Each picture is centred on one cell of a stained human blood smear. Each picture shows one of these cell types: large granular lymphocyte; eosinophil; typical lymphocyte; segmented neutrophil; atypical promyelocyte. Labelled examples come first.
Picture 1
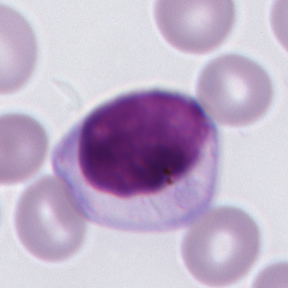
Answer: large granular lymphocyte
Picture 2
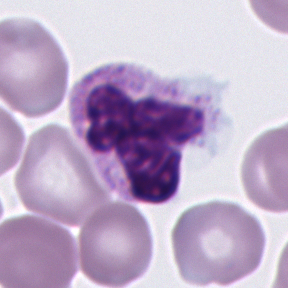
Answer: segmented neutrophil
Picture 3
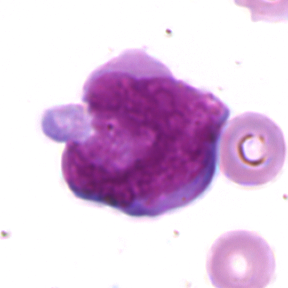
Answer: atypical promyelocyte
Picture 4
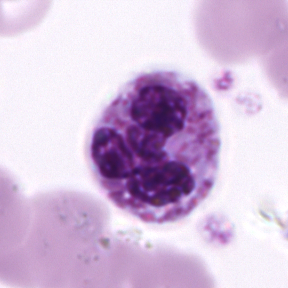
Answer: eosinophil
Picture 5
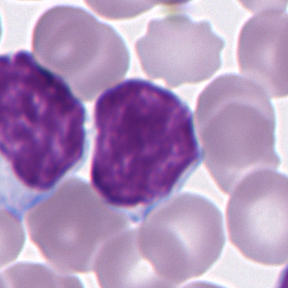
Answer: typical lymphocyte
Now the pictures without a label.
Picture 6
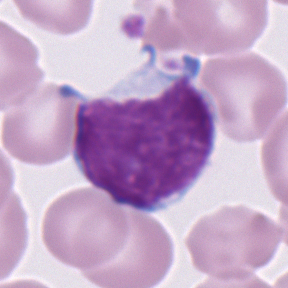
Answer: typical lymphocyte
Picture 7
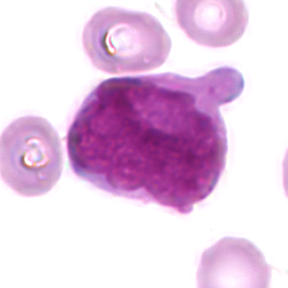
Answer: atypical promyelocyte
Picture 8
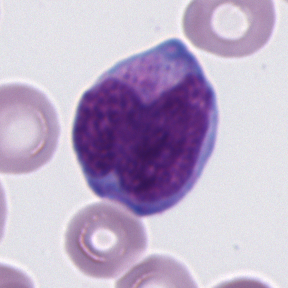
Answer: atypical promyelocyte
